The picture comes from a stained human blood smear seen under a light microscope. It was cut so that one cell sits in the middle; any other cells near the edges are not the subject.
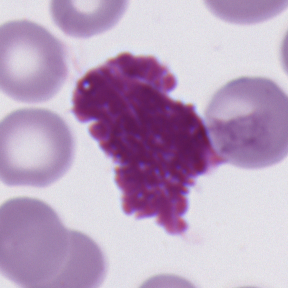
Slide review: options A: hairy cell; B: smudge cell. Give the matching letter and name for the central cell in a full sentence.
Of the options given, B is correct, the central cell being a smudge cell.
